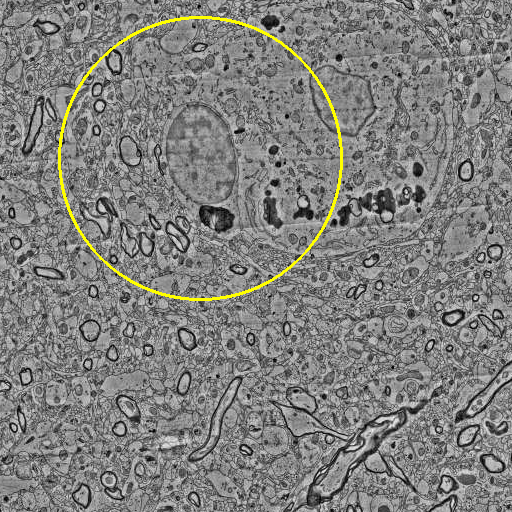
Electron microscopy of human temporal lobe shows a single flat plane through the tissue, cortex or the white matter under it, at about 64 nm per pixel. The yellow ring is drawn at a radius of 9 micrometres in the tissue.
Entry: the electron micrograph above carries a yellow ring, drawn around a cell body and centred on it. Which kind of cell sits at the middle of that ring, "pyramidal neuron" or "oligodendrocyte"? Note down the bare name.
oligodendrocyte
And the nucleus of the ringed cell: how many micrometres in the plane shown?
Clearly longer than it is wide in this plane, the nucleus measures roughly 7 by 4 micrometres.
